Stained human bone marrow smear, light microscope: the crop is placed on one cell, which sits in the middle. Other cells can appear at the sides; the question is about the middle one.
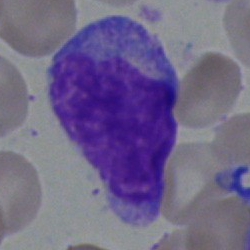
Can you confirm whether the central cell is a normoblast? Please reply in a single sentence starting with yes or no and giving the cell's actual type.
No, the cell under consideration is a blast instead of a normoblast.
